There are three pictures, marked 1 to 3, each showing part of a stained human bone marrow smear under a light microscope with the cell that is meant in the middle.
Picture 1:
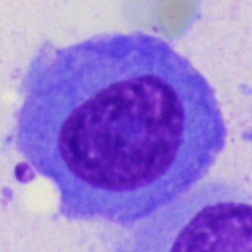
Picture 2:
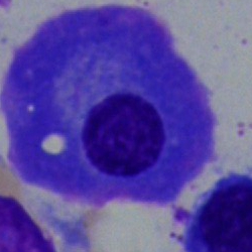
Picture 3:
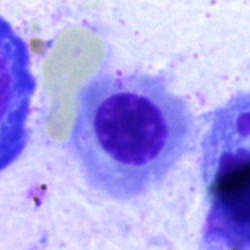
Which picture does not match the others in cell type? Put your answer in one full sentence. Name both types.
All pictures except 3 show plasma cells; picture 3 shows an erythroblast.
